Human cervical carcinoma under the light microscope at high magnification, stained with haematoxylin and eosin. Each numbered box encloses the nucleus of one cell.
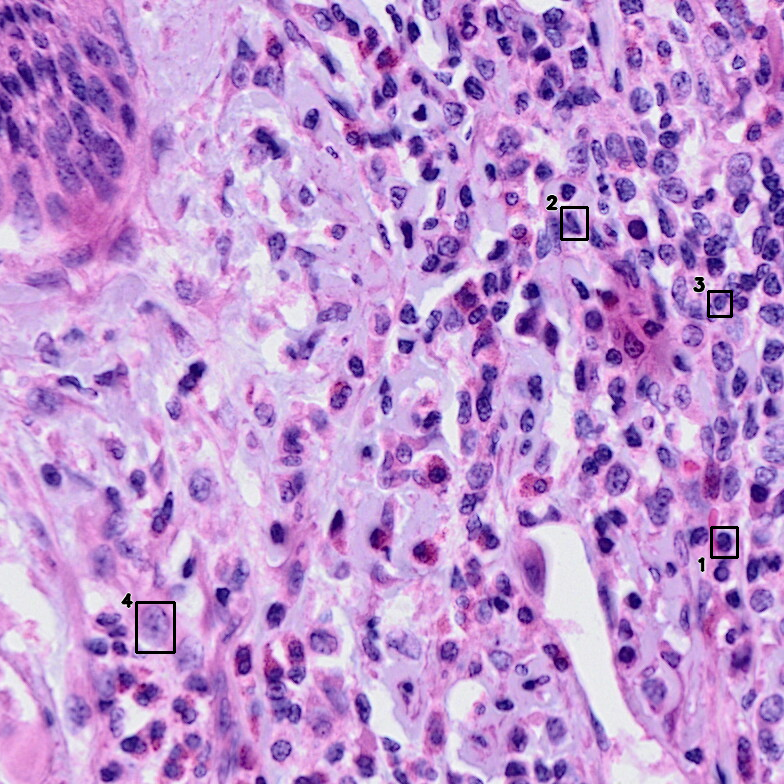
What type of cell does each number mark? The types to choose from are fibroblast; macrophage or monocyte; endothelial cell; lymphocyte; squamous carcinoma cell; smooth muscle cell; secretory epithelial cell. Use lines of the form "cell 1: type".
cell 1: lymphocyte
cell 2: lymphocyte
cell 3: lymphocyte
cell 4: endothelial cell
